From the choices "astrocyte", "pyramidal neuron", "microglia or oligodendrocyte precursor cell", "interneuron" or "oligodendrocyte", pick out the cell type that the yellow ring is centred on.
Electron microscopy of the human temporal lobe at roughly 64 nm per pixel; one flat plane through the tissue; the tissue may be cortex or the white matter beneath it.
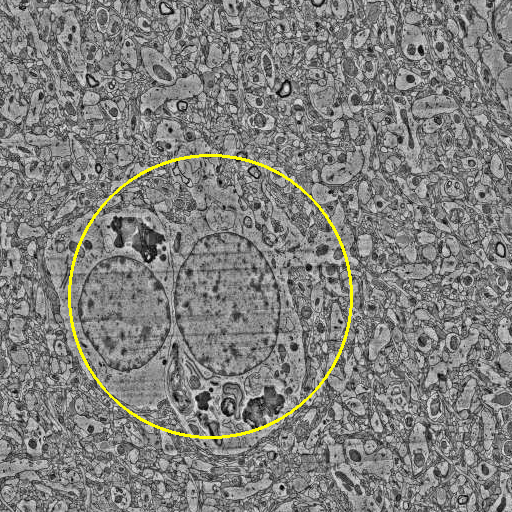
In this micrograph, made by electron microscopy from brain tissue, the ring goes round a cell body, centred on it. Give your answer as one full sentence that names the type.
The yellow ring is centred on an astrocyte, whose cell body it encircles in the picture.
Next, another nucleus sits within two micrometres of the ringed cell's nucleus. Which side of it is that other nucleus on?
The second nucleus is to the left of it.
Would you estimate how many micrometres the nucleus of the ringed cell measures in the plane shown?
Roughly 9 by 7 micrometres in this plane, for the nucleus of the ringed cell.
